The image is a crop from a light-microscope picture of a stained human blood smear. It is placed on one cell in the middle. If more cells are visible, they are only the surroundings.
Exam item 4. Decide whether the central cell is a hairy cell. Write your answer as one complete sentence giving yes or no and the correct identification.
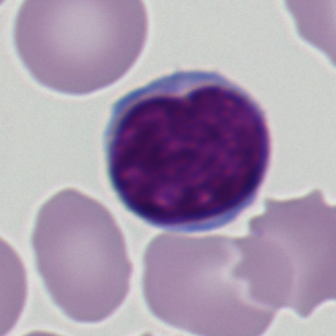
No, the cell in the centre of the crop is a typical lymphocyte as opposed to a hairy cell.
